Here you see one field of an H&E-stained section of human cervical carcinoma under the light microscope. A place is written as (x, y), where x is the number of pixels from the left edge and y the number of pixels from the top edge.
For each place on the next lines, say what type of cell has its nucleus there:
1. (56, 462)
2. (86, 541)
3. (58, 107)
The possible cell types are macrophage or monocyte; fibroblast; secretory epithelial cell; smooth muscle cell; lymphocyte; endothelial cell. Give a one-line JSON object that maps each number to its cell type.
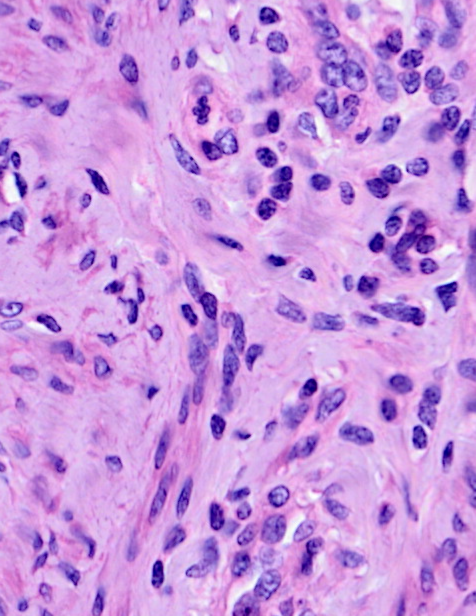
{"1": "smooth muscle cell", "2": "smooth muscle cell", "3": "fibroblast"}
